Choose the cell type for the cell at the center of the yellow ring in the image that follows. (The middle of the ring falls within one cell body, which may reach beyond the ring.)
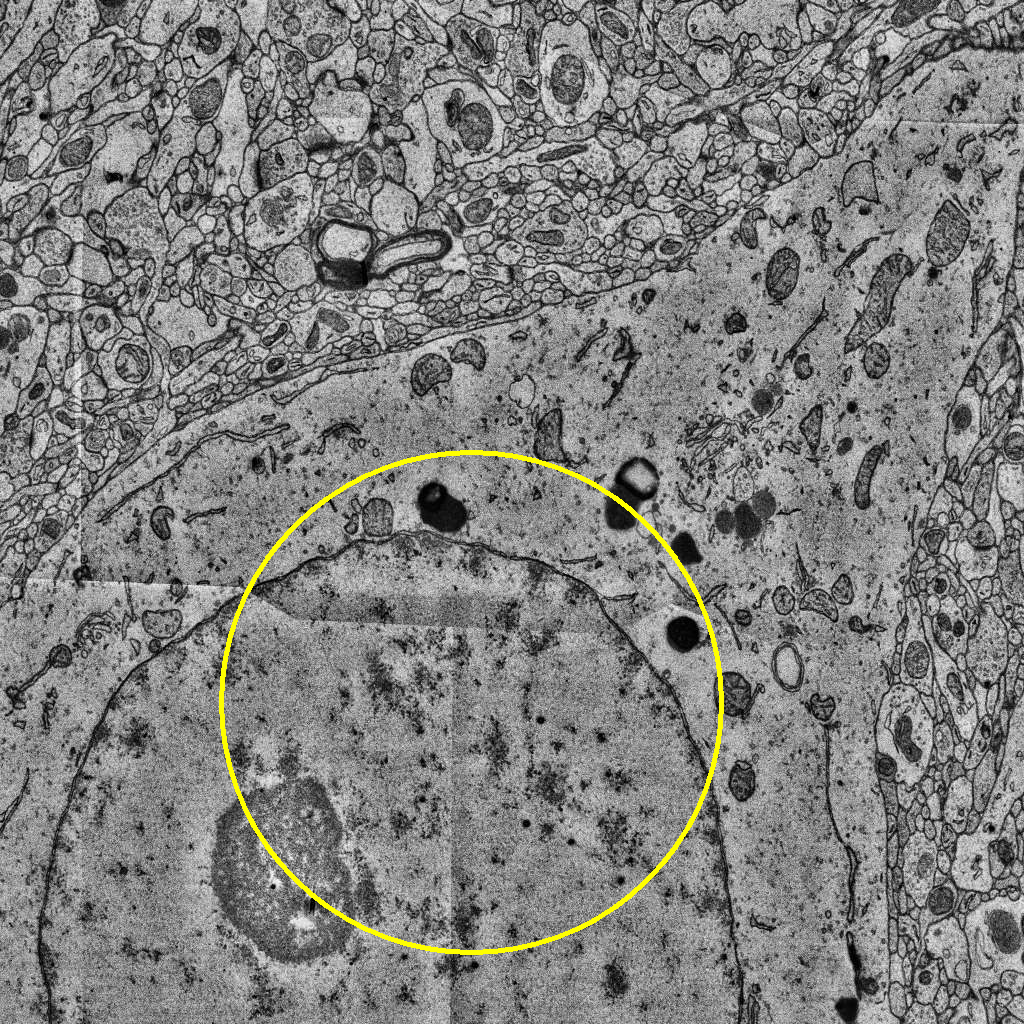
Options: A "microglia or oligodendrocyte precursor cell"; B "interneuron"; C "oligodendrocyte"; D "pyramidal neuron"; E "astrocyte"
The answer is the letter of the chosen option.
D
